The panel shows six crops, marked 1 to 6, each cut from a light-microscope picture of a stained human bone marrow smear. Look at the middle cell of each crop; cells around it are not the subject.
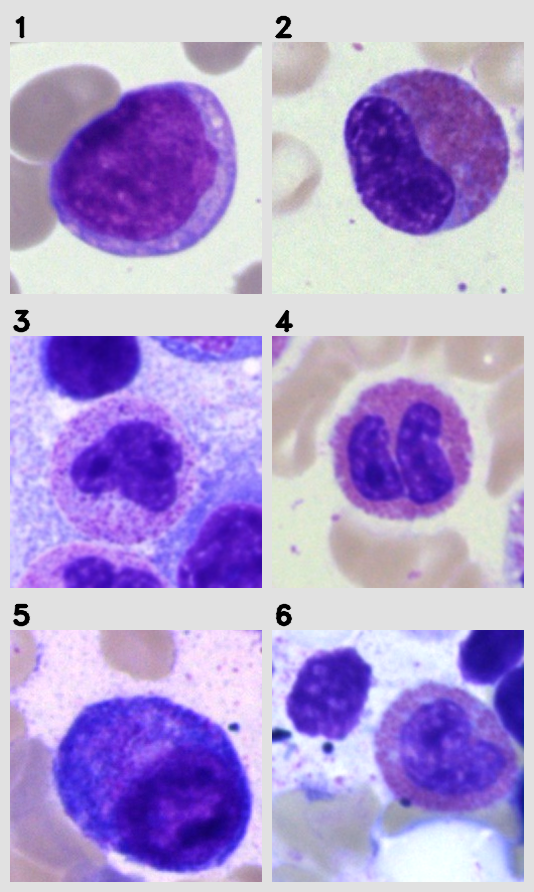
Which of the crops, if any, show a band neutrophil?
none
